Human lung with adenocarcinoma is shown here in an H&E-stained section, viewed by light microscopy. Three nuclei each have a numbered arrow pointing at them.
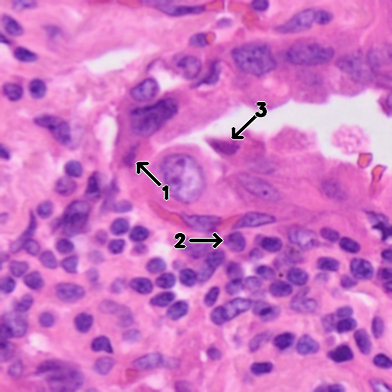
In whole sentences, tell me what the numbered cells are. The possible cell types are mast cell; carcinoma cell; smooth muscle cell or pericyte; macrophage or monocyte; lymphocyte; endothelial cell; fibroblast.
Cell 1 is a carcinoma cell, cell 2 is a lymphocyte and cell 3 is a carcinoma cell.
